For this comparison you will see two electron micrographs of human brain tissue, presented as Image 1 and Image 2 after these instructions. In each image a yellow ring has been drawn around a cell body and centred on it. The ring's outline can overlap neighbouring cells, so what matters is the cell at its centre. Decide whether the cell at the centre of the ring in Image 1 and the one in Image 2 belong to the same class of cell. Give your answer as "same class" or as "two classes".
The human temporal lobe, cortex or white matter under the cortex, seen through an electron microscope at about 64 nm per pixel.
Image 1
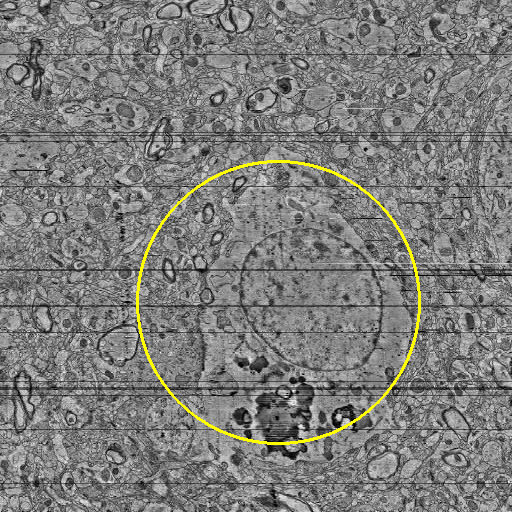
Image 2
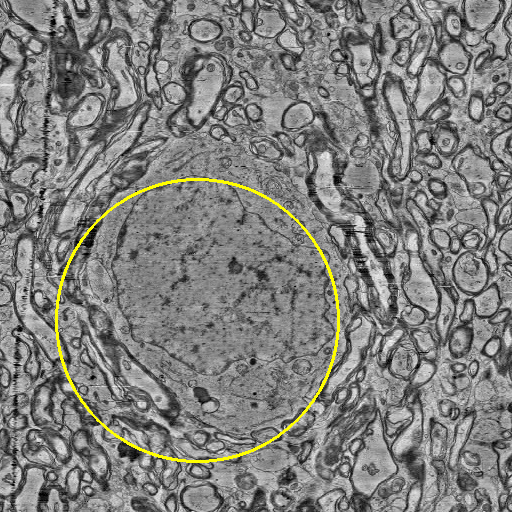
two classes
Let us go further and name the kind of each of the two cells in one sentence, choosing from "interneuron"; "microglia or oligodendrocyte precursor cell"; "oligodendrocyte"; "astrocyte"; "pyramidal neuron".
The ring of the first picture is on an astrocyte, the ring of the second on a pyramidal neuron.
